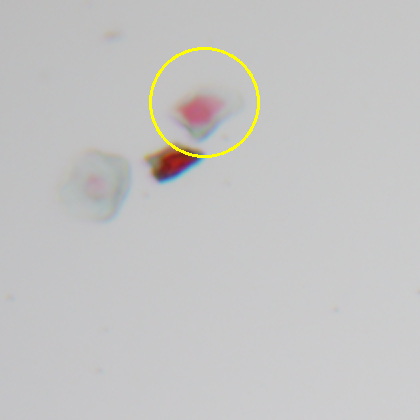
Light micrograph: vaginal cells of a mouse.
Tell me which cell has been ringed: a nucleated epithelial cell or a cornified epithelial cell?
It is a nucleated epithelial cell.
